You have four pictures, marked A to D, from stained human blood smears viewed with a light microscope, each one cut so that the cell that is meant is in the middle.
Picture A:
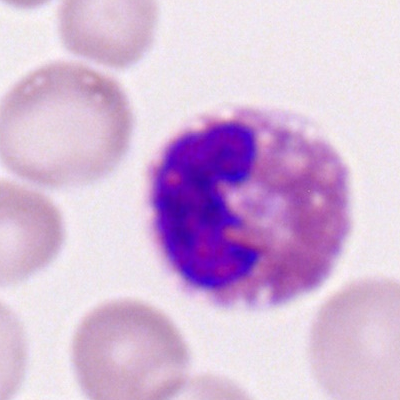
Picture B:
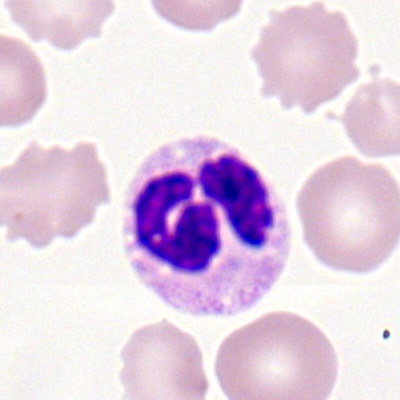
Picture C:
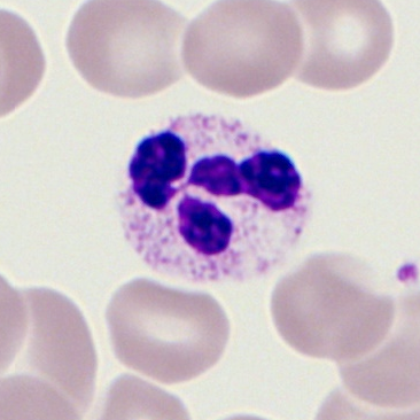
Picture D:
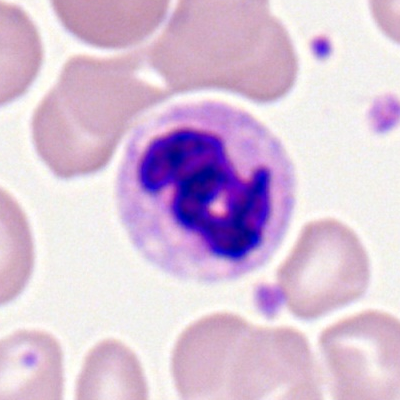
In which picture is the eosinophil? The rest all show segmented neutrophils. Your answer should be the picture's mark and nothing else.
A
